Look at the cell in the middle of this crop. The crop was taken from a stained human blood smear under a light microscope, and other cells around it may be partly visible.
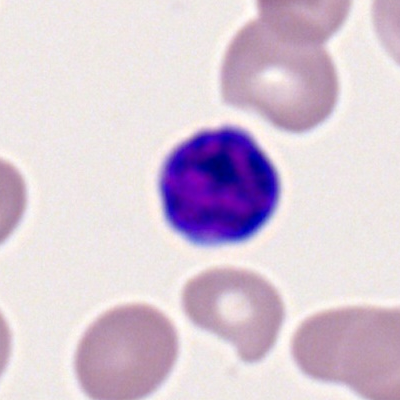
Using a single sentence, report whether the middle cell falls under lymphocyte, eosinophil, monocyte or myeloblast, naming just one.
The cell in the exact centre of the crop is a lymphocyte.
